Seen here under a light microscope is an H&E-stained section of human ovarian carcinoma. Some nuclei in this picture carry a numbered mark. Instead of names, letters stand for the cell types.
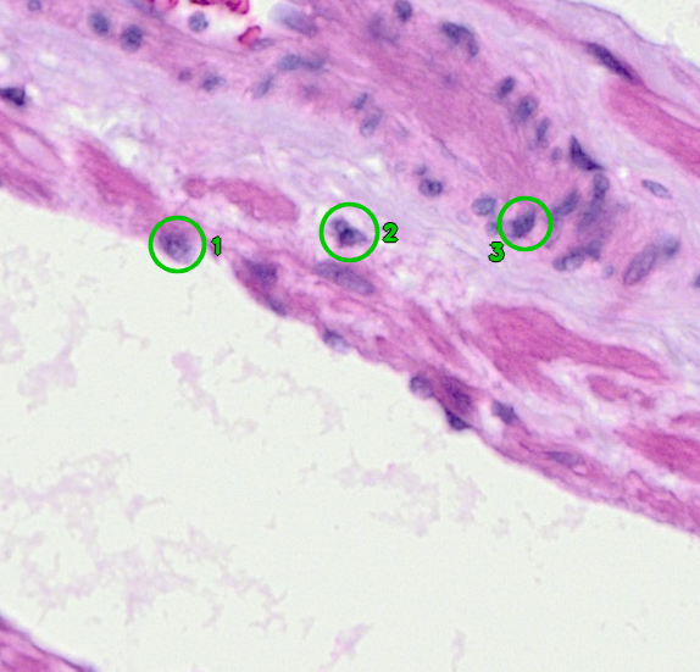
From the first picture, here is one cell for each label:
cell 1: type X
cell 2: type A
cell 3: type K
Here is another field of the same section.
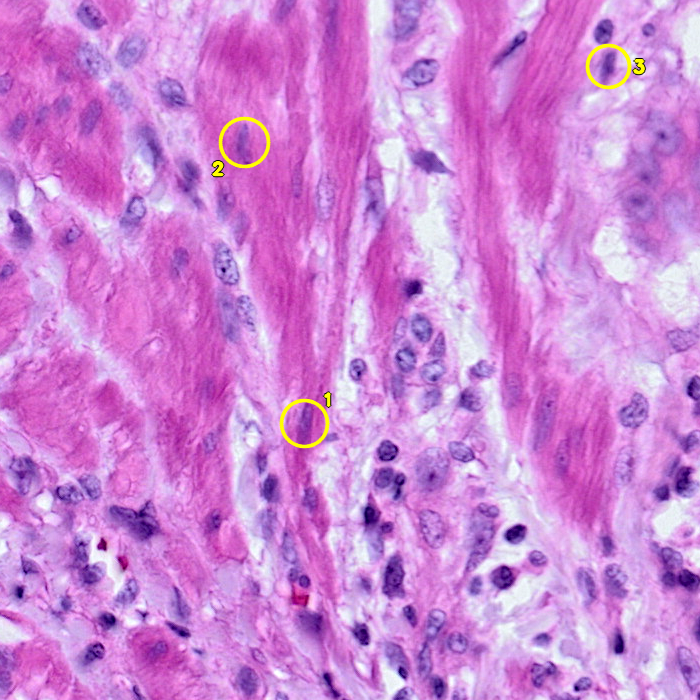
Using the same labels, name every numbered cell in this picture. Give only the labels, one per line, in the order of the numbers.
type K
type K
type A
